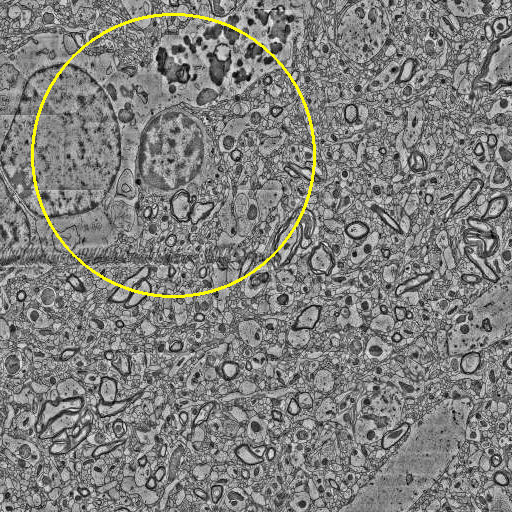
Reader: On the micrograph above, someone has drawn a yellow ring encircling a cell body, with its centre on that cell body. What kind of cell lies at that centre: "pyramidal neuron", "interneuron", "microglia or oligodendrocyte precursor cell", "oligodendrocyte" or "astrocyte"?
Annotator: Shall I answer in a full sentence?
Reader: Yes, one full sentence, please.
Here an oligodendrocyte sits at the centre of the yellow ring drawn on the micrograph.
